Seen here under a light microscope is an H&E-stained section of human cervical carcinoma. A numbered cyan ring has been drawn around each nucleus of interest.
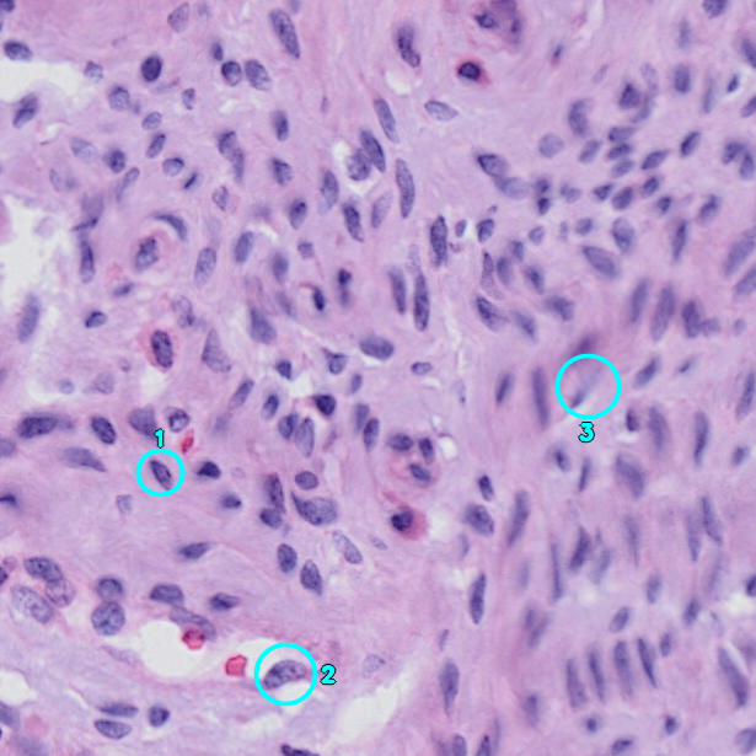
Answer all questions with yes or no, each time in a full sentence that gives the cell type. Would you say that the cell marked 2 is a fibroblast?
No, calling cell 2 a fibroblast is a mistake; it is an endothelial cell.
